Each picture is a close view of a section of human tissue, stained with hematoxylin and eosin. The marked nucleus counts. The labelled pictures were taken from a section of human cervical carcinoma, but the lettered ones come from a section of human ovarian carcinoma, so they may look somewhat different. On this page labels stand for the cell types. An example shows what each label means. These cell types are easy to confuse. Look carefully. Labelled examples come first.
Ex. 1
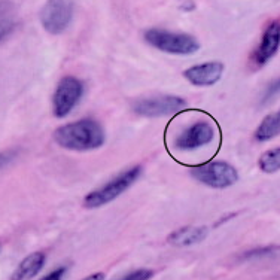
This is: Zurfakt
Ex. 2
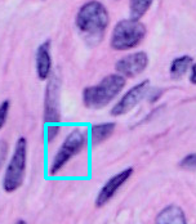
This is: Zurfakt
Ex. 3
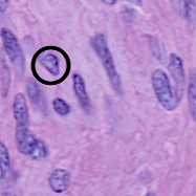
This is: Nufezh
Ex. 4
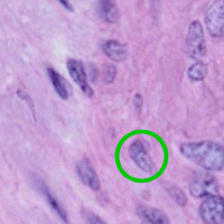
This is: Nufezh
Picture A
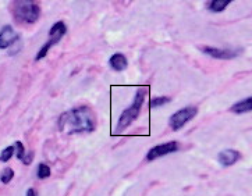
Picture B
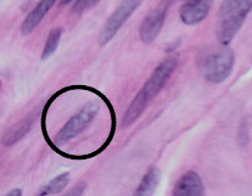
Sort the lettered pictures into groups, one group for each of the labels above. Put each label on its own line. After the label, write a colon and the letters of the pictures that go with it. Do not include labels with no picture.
Zurfakt: A
Nufezh: B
